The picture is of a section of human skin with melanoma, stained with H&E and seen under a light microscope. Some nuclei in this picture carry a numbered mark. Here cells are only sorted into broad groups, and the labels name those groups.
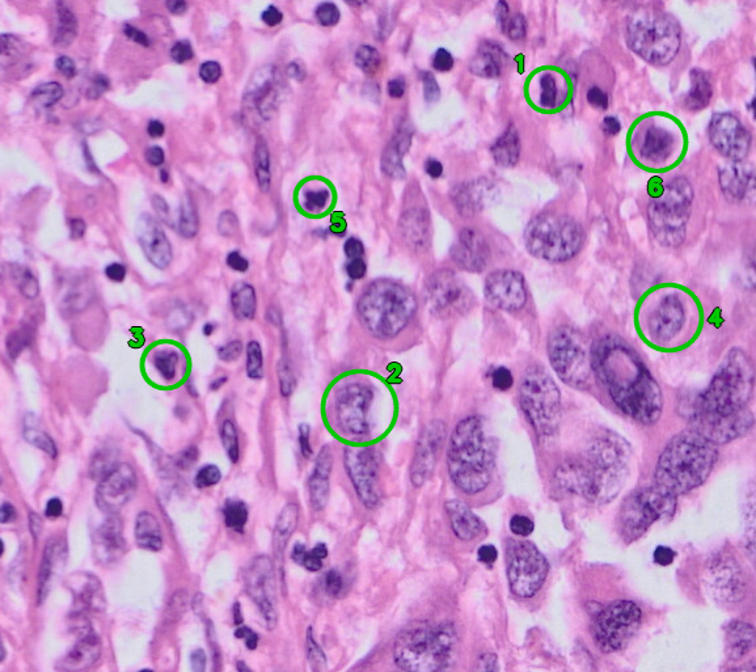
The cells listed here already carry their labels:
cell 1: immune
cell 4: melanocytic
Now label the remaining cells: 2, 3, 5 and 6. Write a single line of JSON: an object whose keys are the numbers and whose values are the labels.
{"2": "melanocytic", "3": "immune", "5": "immune", "6": "melanocytic"}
